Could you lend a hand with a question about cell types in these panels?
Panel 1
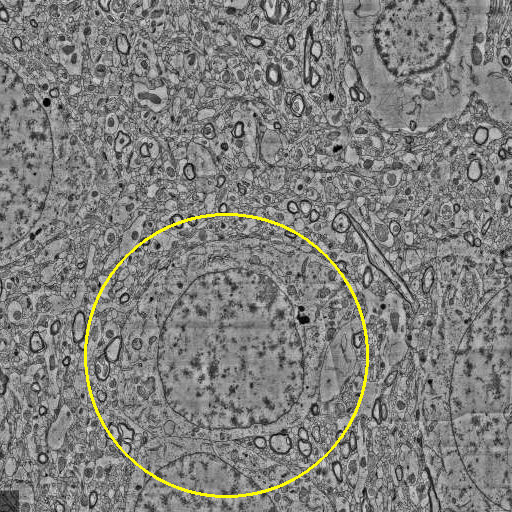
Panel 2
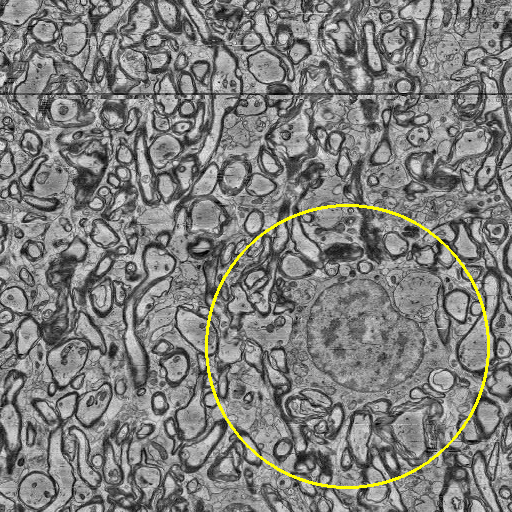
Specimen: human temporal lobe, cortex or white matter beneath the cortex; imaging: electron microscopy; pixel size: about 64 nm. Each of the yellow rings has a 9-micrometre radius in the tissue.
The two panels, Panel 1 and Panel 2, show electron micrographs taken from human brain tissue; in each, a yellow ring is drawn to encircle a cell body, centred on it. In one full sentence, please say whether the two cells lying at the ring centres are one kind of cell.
No, the cells at the ring centres in the two panels are two kinds of cell.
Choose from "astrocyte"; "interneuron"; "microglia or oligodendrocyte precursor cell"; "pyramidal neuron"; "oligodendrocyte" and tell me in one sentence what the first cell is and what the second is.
What the first ring is centred on is a pyramidal neuron; what the second ring is centred on is an oligodendrocyte.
